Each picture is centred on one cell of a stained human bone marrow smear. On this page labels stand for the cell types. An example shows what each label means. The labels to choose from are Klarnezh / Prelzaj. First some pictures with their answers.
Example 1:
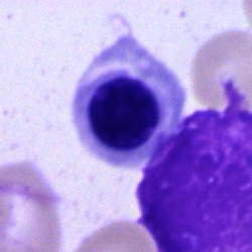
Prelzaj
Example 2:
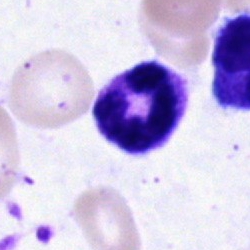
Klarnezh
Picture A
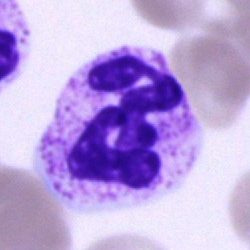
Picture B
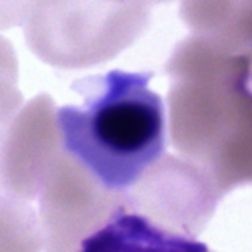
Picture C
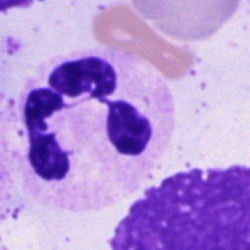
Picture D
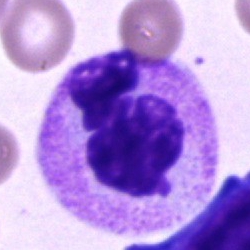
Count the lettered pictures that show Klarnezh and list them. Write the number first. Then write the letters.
Count: 3 (A, C, D)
